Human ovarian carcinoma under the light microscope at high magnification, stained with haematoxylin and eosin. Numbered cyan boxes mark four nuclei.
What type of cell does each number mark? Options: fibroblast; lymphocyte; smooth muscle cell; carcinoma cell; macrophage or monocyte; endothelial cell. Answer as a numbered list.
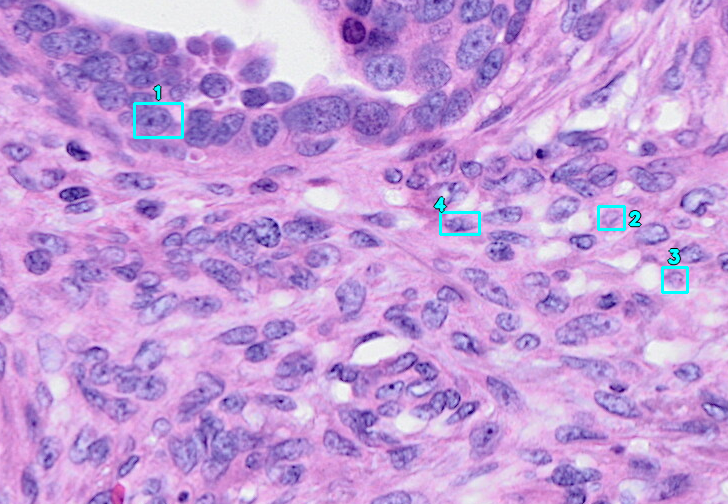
1. carcinoma cell
2. fibroblast
3. fibroblast
4. fibroblast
